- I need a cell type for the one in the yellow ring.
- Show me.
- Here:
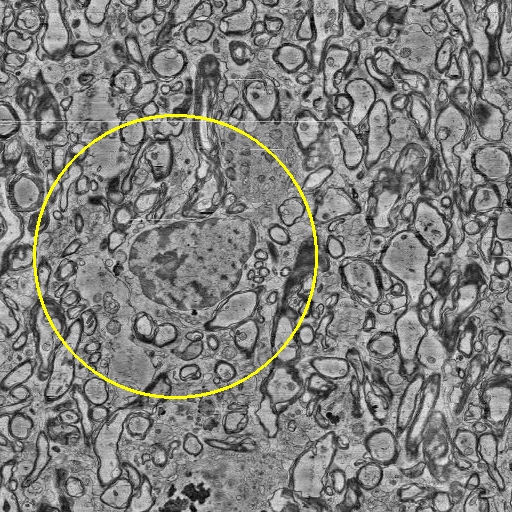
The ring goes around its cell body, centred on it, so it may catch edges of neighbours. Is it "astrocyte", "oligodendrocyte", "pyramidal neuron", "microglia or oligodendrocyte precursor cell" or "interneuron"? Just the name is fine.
microglia or oligodendrocyte precursor cell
